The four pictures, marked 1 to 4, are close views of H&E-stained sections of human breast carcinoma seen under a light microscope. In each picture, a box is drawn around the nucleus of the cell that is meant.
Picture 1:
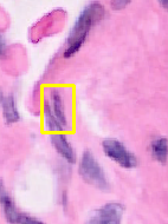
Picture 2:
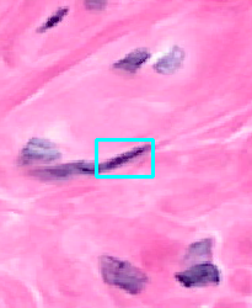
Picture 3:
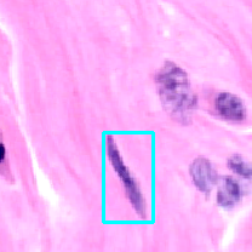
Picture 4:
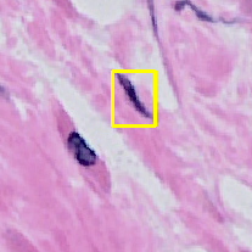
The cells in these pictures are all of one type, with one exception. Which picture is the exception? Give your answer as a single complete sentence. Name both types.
The different one is picture 1; it shows an endothelial cell, whereas all the others show fibroblasts.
